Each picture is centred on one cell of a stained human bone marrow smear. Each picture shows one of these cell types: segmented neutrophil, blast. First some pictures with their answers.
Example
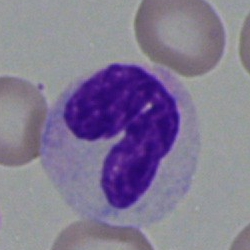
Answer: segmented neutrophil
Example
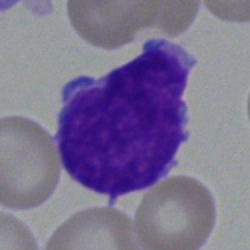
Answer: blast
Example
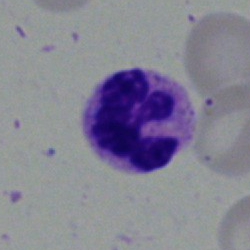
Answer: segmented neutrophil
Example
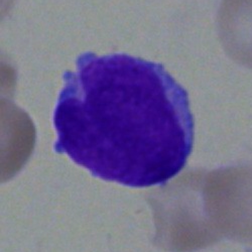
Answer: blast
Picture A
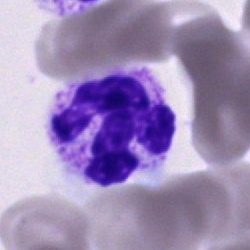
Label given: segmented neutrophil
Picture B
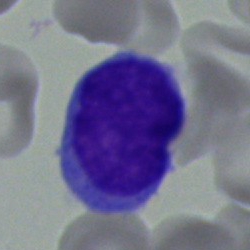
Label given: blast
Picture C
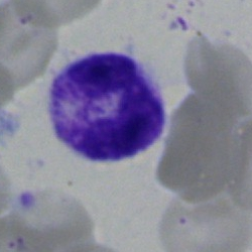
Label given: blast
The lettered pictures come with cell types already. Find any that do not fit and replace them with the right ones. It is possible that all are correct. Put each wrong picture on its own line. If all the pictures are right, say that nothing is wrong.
C should be segmented neutrophil, not blast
